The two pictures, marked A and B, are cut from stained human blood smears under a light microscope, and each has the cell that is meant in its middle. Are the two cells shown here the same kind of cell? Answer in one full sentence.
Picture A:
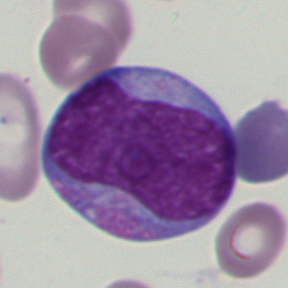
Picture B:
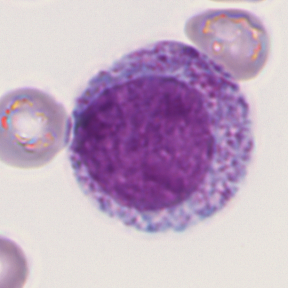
Yes; the cells in both pictures are promyelocytes.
